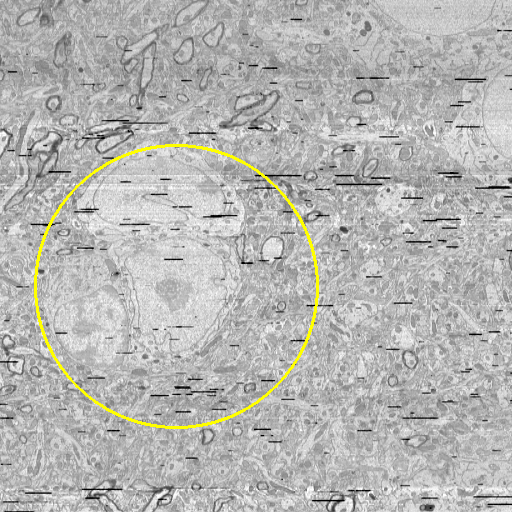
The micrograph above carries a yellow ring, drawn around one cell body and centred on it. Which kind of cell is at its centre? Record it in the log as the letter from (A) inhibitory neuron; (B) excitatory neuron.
A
